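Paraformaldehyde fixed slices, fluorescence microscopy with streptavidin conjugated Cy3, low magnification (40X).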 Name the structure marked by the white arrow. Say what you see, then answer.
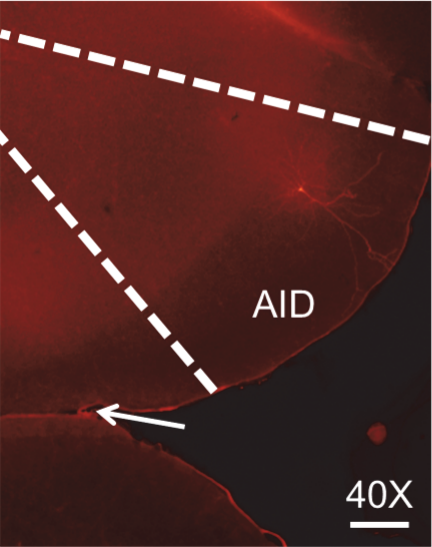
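The arrow points to a deep notch where the surface of the slice folds inward. Tissue lies on both sides of the notch, with a dark gap opening beside it. The answer: rhinal fissure.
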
